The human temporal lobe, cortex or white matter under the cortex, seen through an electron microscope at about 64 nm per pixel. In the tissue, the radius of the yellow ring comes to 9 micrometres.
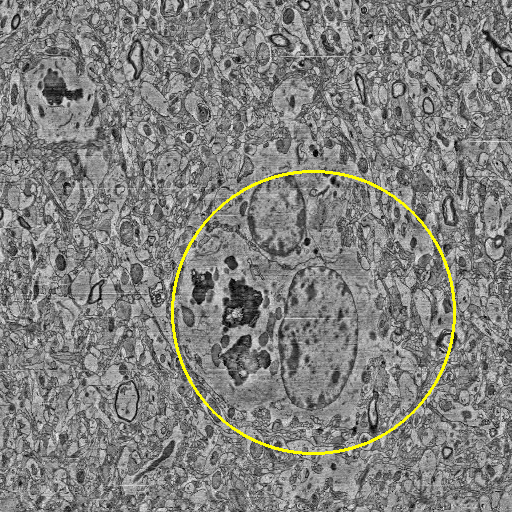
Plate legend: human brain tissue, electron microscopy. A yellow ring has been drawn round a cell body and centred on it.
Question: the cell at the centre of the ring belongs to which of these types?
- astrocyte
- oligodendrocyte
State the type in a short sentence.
The cell in the middle of the ring is an astrocyte.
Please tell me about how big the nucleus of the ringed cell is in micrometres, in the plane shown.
In this plane the nucleus is clearly longer than it is wide, at approximately 9 by 5 micrometres.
